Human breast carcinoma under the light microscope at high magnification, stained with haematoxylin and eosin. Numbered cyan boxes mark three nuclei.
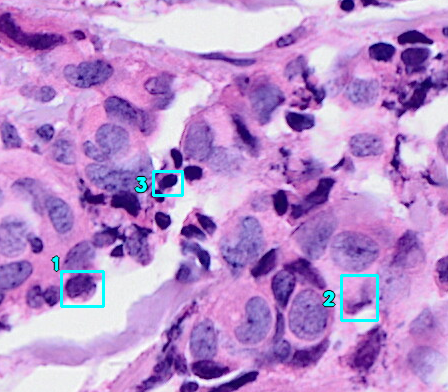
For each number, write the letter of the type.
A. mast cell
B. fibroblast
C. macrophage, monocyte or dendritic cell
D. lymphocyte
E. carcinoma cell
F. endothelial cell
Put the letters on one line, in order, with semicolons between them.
E; E; D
